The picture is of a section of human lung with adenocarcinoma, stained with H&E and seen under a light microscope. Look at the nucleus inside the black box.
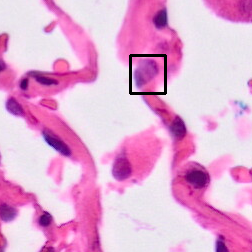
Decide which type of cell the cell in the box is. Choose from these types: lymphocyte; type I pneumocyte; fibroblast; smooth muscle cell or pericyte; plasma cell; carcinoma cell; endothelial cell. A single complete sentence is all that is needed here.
By its classification, the cell in the box is a type I pneumocyte.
